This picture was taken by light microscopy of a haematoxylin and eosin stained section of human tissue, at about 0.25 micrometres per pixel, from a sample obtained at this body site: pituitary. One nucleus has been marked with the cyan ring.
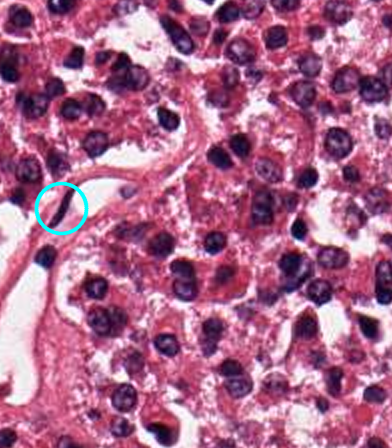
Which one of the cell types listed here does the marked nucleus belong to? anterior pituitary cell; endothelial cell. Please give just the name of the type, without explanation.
endothelial cell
